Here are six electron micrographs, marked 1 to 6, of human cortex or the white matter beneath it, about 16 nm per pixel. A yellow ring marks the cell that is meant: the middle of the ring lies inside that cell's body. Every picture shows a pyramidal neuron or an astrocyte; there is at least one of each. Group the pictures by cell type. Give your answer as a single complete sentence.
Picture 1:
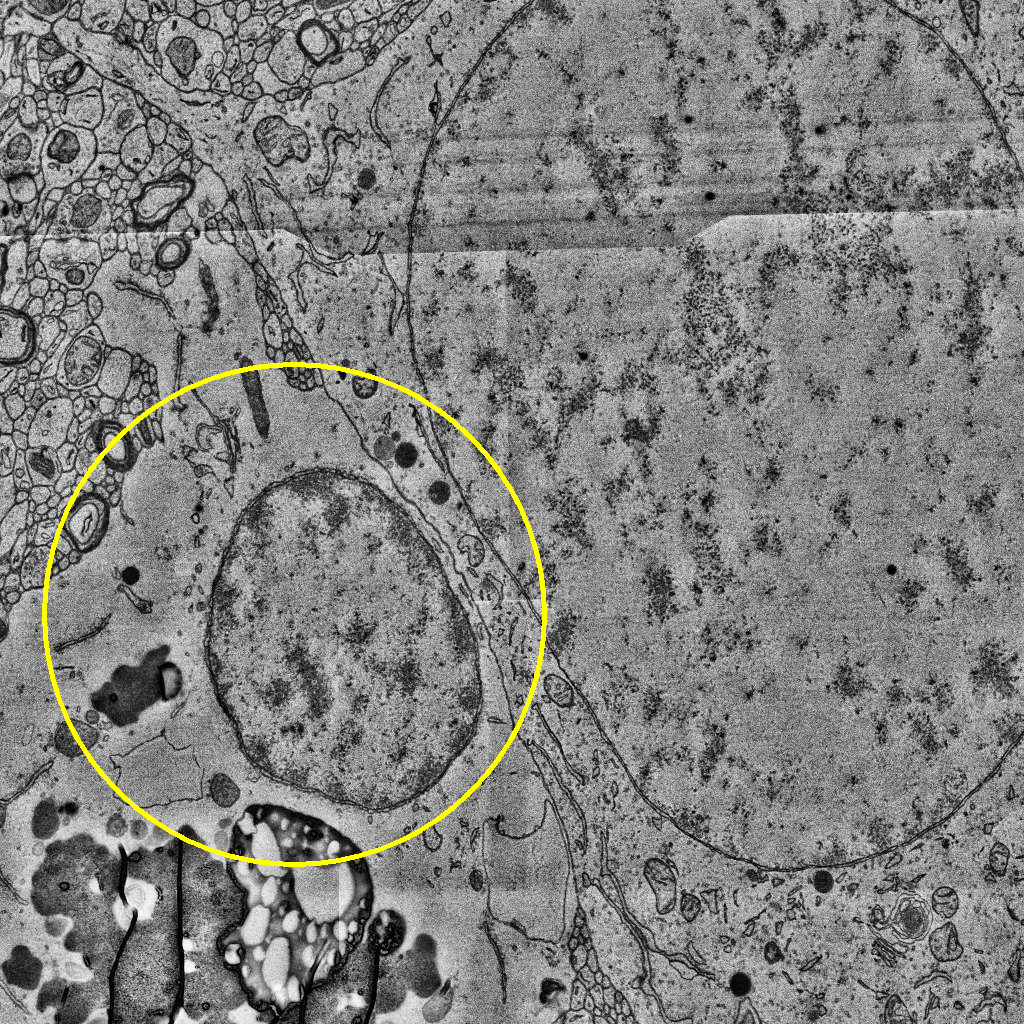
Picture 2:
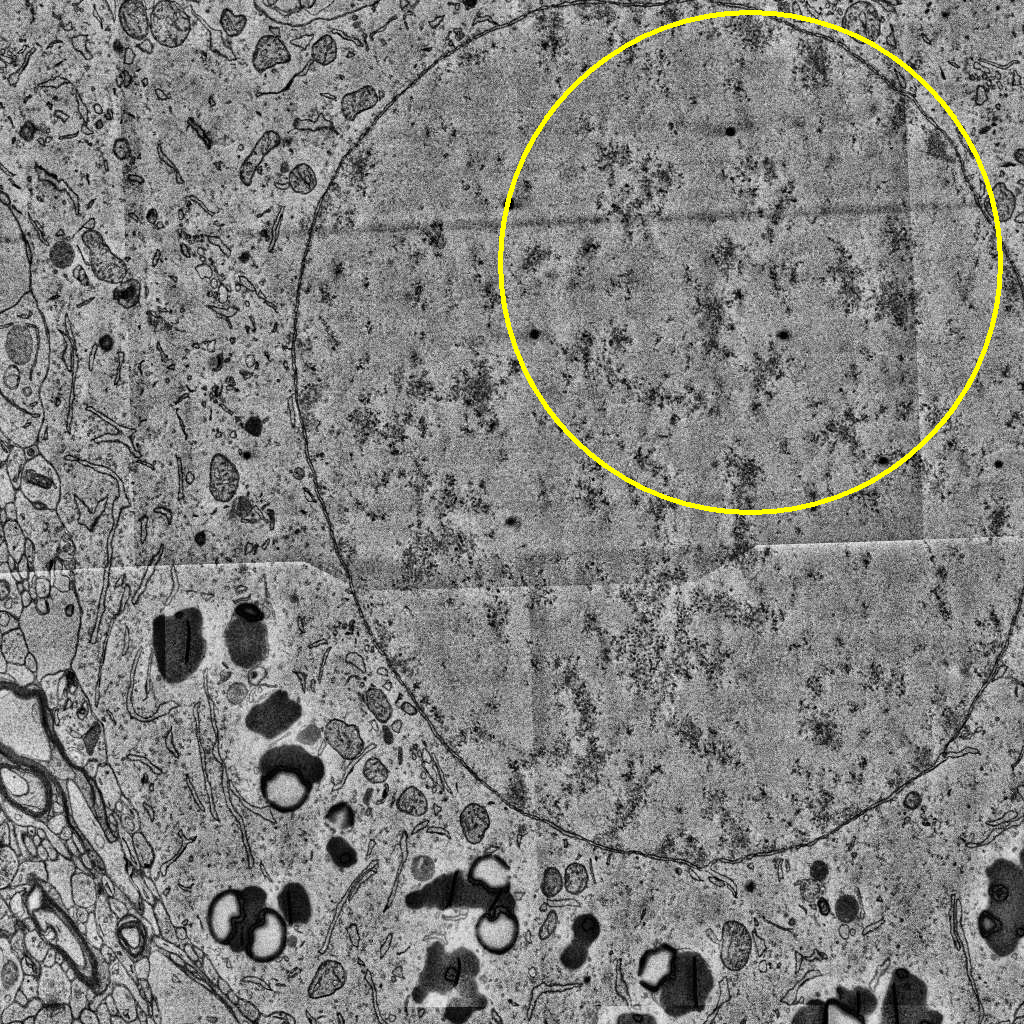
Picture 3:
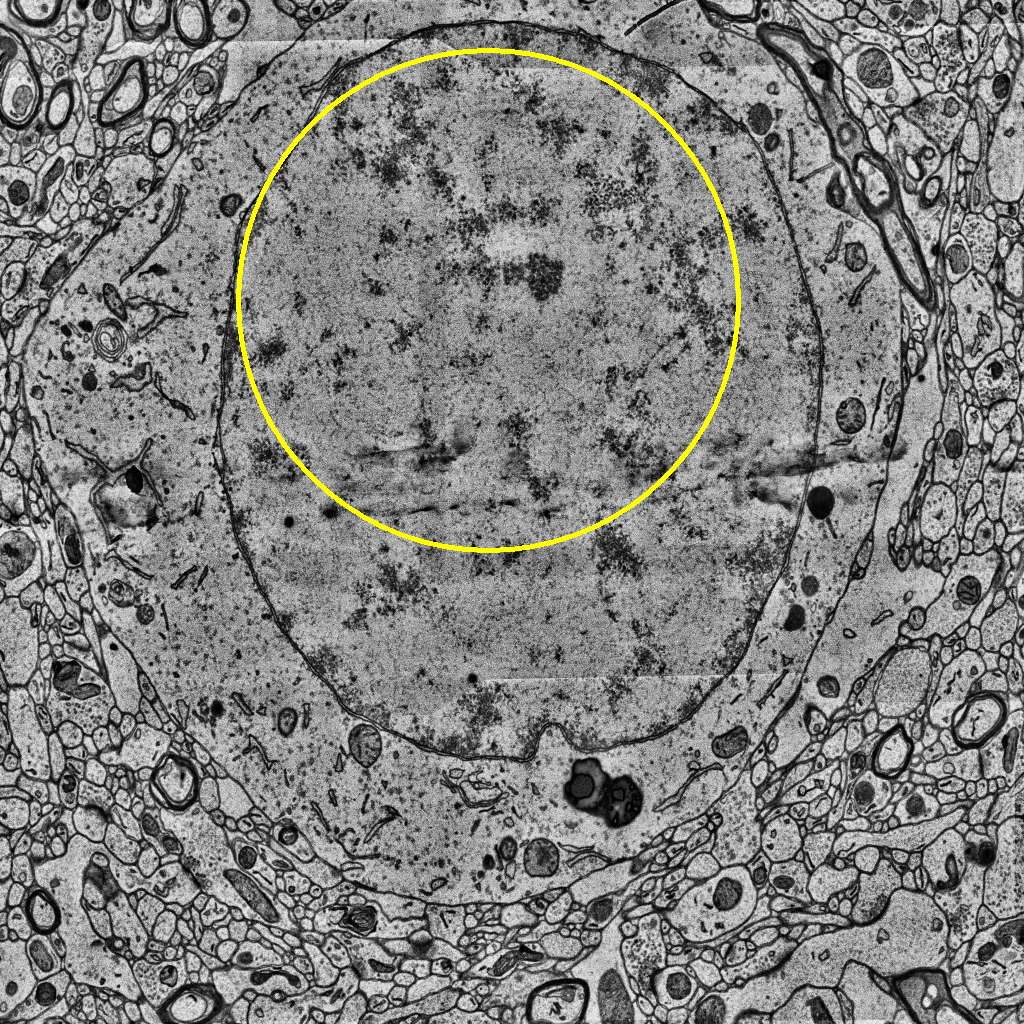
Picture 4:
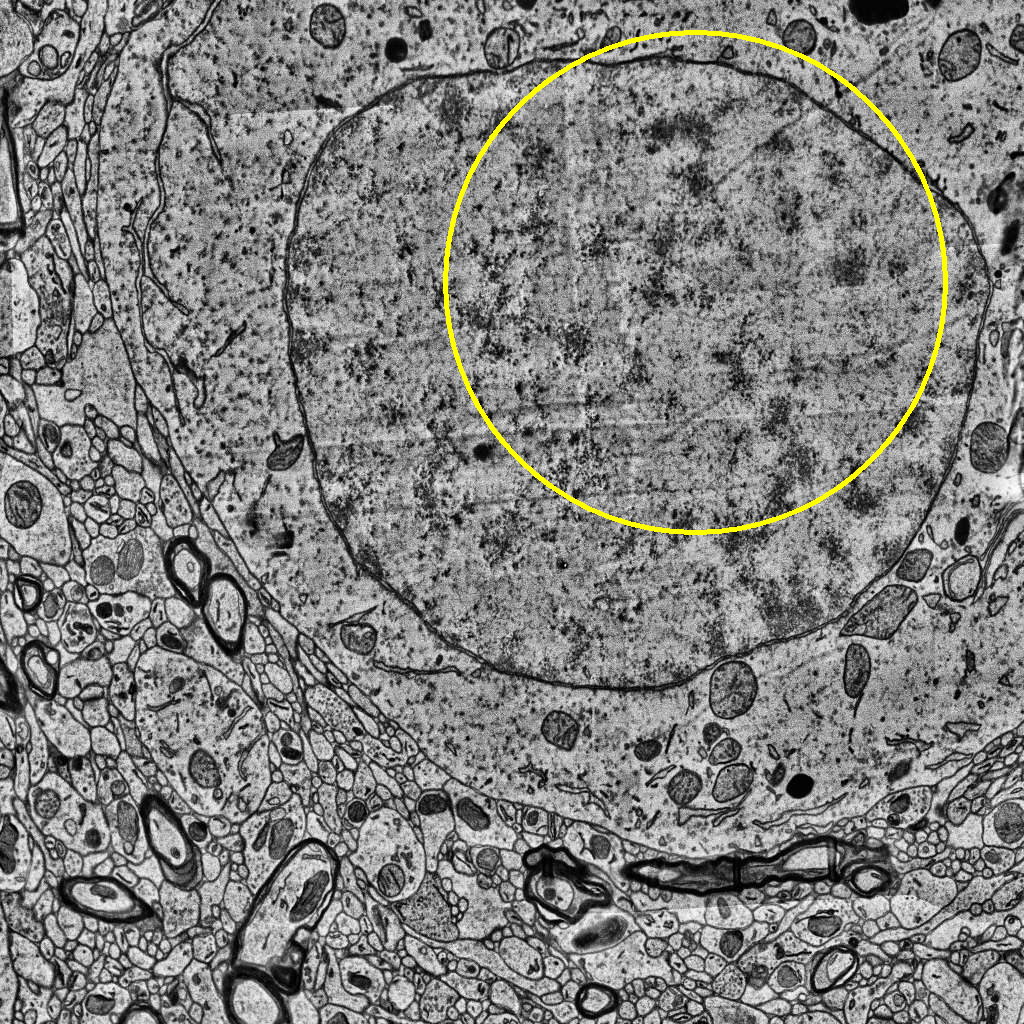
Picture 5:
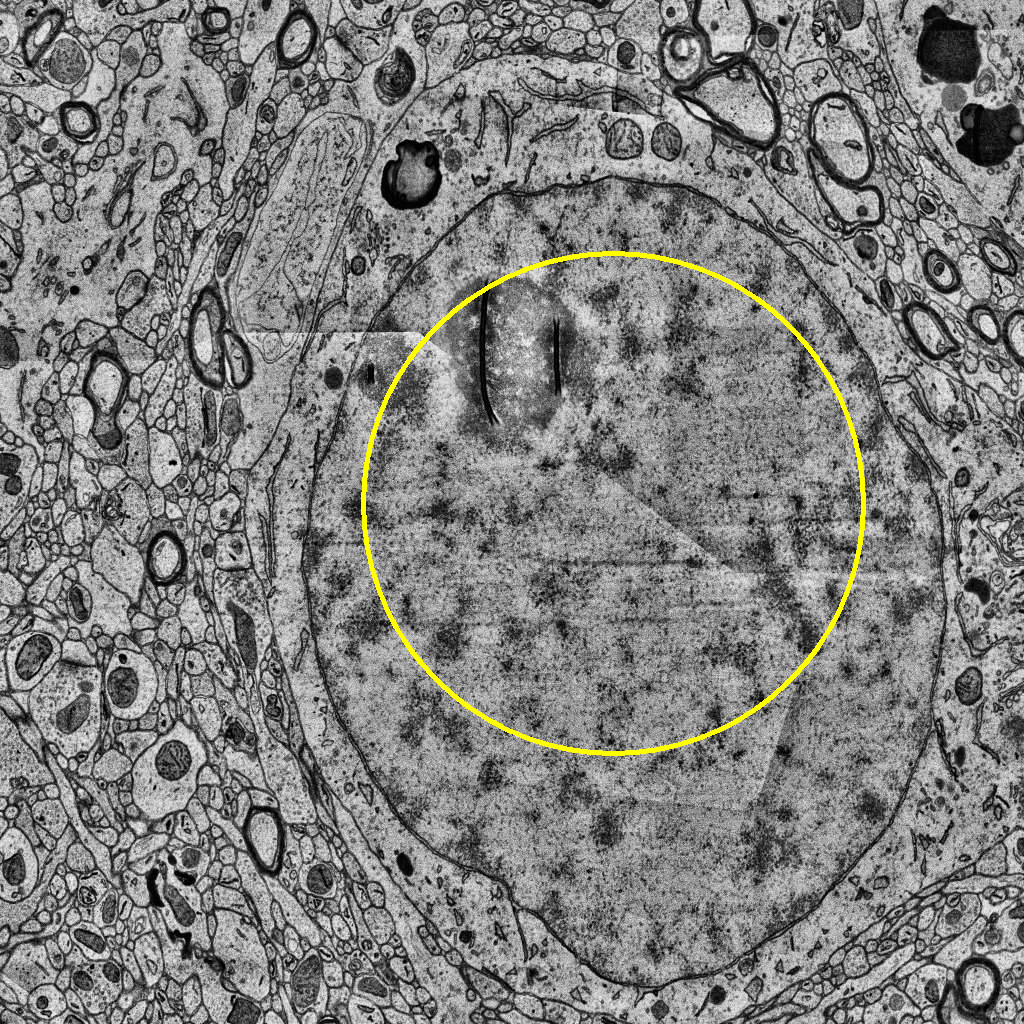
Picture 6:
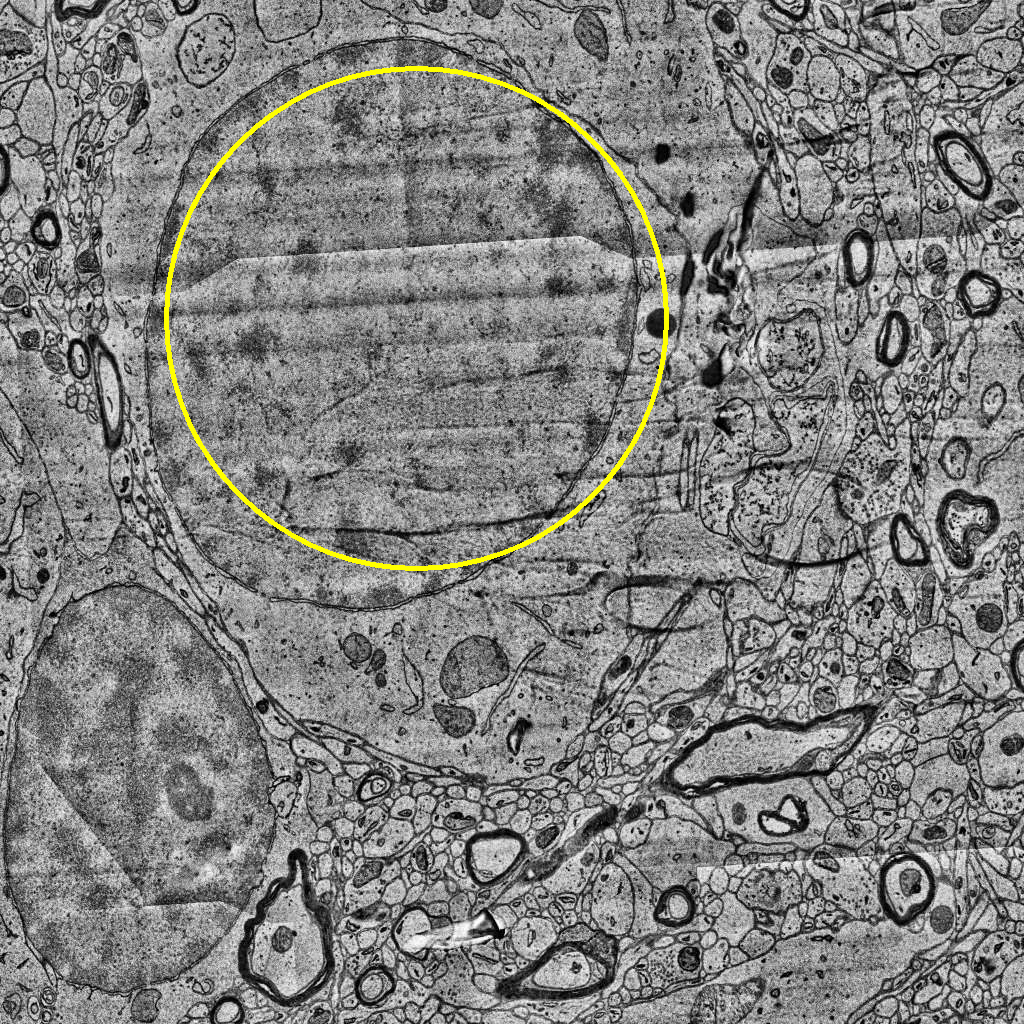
Pictures 2, 3, 4 and 5 show pyramidal neurons, while pictures 1 and 6 show astrocytes.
